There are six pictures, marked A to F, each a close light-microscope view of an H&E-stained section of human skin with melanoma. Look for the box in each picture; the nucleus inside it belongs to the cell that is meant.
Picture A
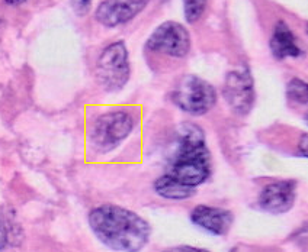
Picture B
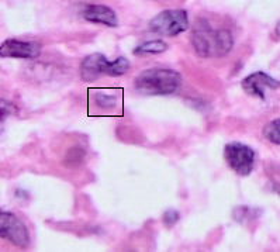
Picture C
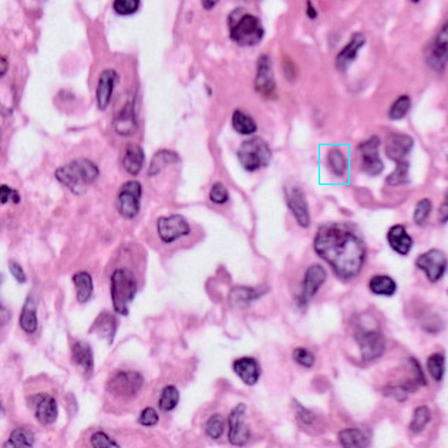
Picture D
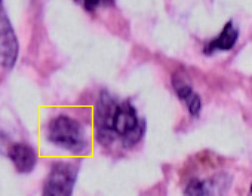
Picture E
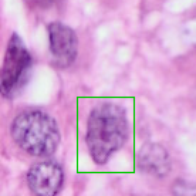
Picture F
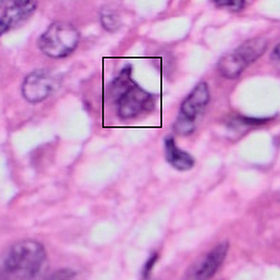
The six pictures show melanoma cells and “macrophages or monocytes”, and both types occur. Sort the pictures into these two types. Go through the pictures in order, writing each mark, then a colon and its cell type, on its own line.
A: melanoma cell
B: macrophage or monocyte
C: macrophage or monocyte
D: melanoma cell
E: melanoma cell
F: melanoma cell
